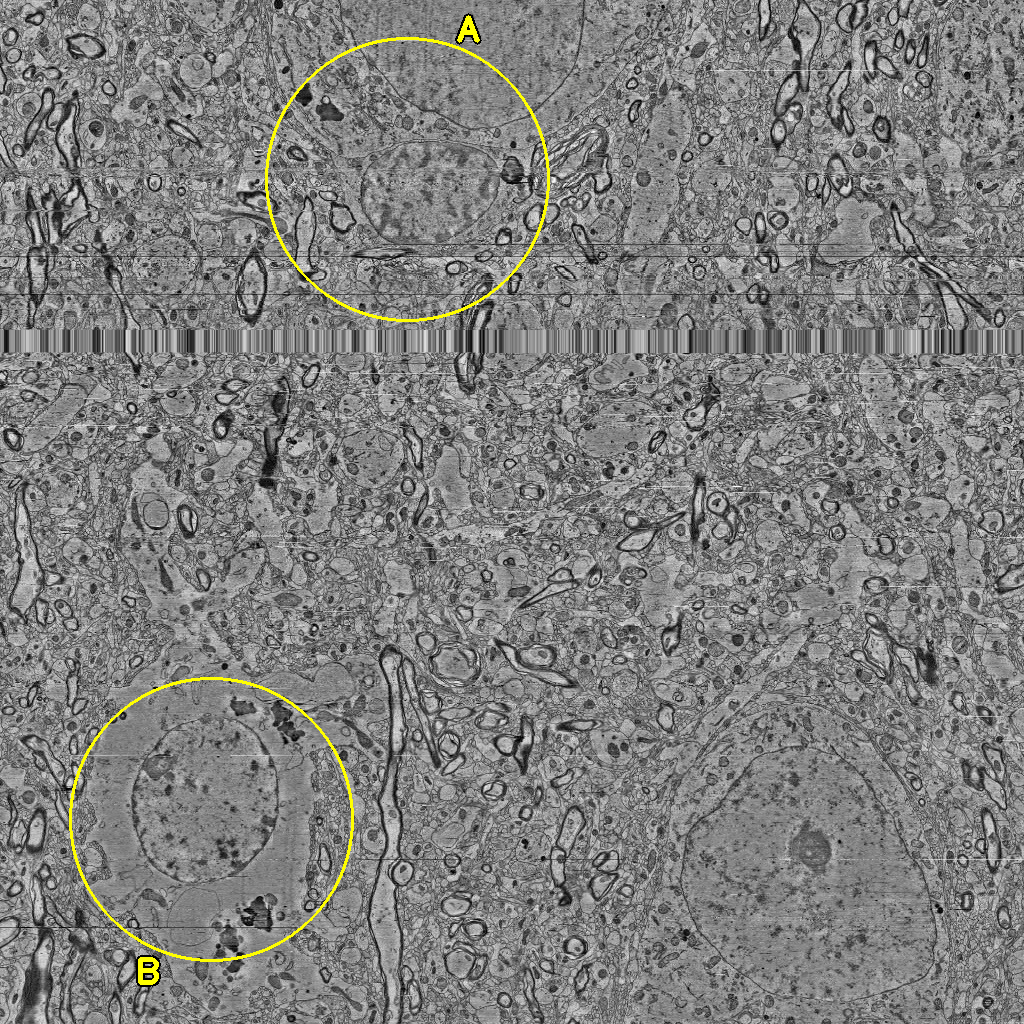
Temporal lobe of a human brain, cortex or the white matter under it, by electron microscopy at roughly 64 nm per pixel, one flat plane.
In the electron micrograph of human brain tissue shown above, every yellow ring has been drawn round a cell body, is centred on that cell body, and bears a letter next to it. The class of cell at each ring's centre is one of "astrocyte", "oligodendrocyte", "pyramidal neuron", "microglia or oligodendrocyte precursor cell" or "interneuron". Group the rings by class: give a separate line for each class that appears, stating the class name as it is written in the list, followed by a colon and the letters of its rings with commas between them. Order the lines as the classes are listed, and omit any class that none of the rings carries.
astrocyte: B
oligodendrocyte: A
